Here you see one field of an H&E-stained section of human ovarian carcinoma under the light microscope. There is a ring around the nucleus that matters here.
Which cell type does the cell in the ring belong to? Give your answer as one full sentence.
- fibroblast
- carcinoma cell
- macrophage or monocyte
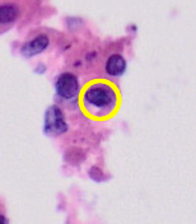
Cell type answer for this item: the cell in the ring is a macrophage or monocyte.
